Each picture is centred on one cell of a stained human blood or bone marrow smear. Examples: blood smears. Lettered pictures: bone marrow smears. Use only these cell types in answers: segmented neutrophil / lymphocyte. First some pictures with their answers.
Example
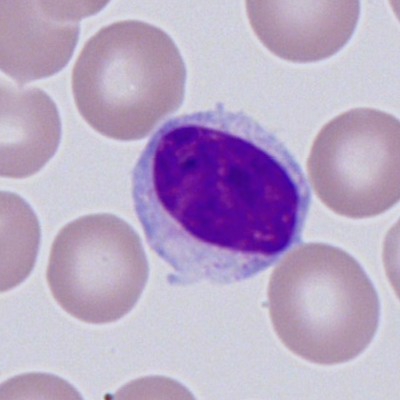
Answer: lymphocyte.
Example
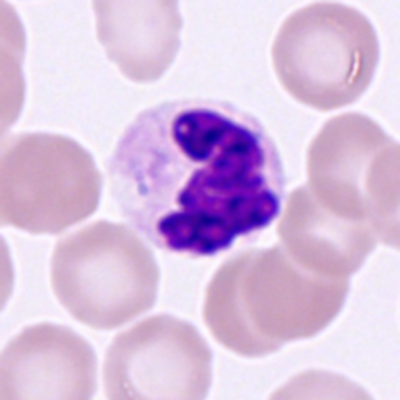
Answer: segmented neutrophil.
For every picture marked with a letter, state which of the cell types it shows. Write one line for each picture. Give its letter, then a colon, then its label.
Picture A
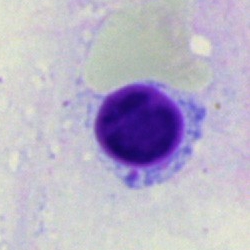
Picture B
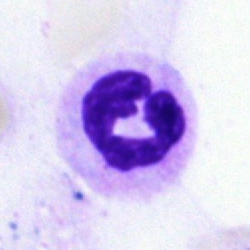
A: lymphocyte.
B: segmented neutrophil.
